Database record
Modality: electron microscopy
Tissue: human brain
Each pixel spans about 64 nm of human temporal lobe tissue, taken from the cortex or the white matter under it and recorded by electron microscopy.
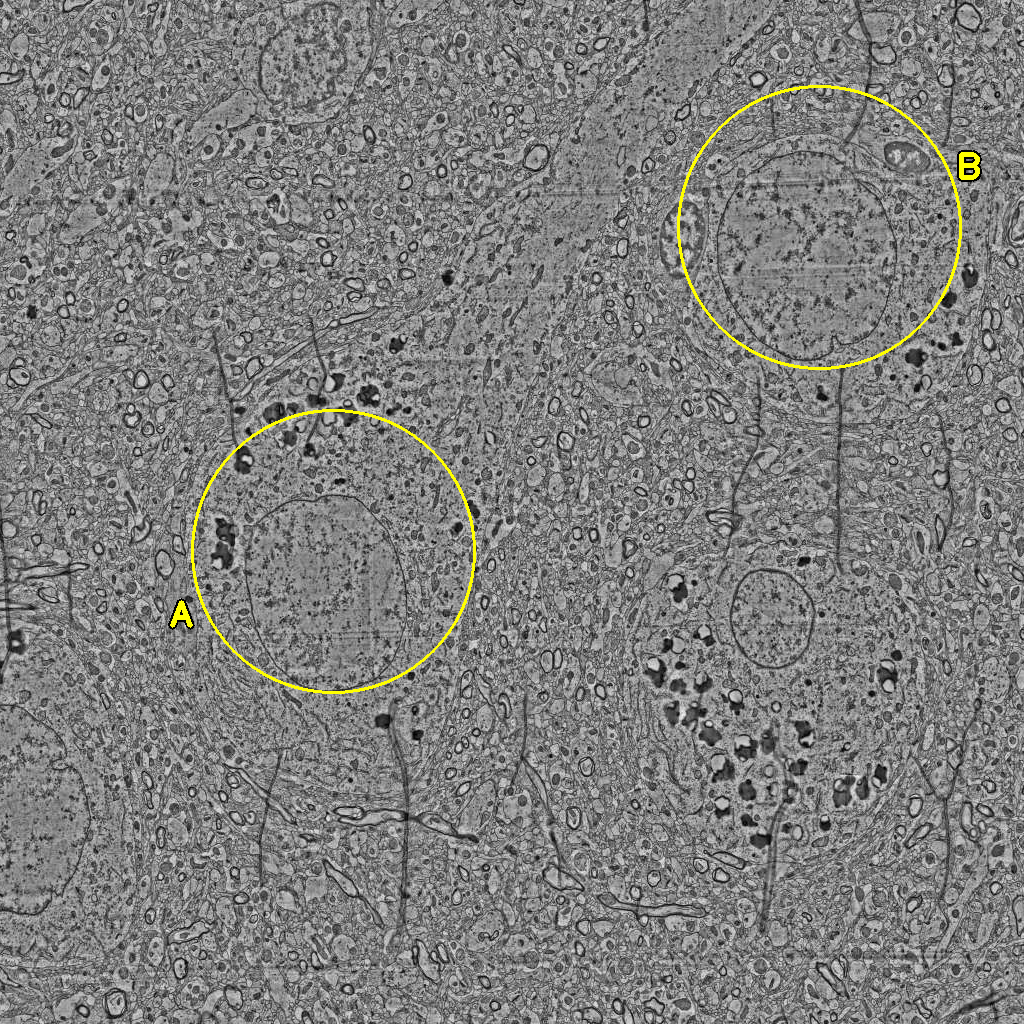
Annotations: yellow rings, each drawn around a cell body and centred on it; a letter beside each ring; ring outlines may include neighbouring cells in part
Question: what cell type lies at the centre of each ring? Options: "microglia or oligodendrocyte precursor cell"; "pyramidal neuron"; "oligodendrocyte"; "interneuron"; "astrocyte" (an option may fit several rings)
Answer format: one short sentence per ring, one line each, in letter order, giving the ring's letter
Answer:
Ring A corresponds to a pyramidal neuron.
Ring B corresponds to a pyramidal neuron.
